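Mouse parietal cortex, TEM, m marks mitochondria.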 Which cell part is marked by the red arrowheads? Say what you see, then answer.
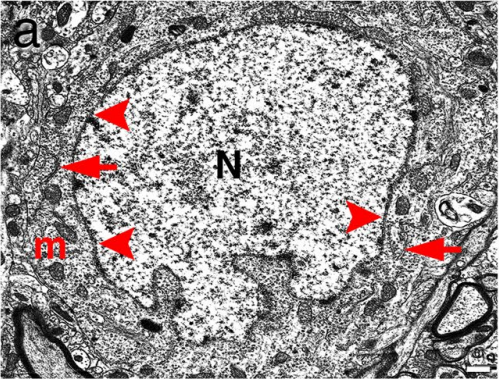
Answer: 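The arrowheads point to the thin line bounding the pale nucleus.
Hence: Nuclear double membrane.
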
